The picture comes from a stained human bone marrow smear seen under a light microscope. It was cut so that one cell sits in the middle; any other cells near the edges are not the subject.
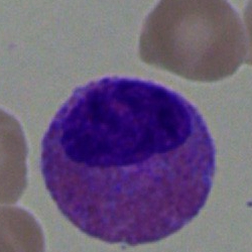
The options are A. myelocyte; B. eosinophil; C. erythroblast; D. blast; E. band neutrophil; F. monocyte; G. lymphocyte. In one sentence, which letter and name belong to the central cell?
Option B holds up: the cell in the middle is an eosinophil.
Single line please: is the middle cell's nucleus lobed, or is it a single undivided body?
Round, oval or kidney-shaped, the nucleus is one compact mass.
